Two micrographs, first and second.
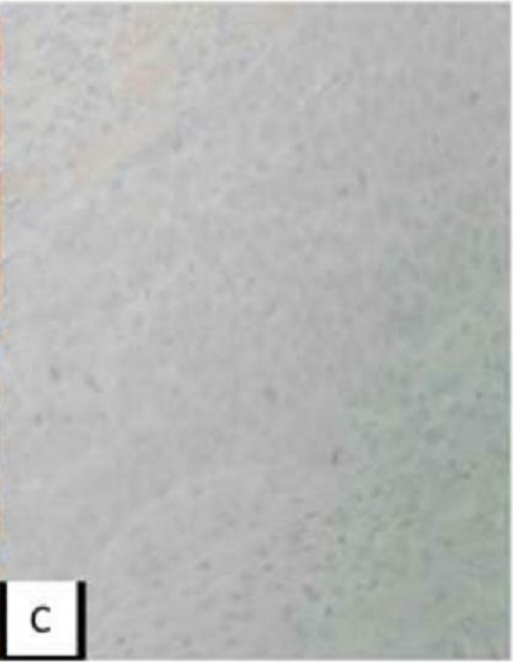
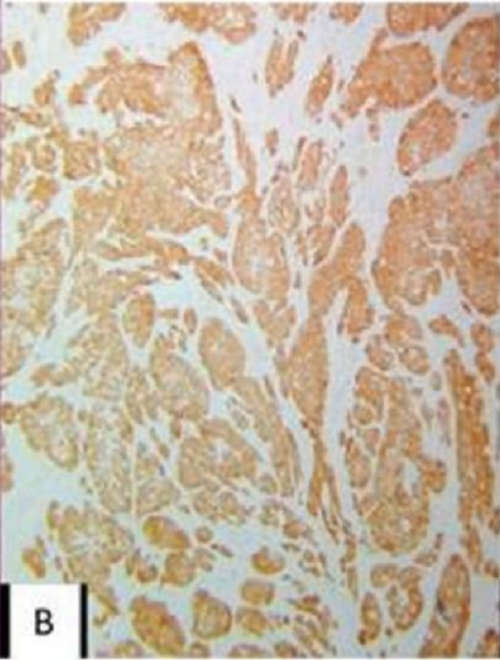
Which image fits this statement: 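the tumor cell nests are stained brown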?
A: The second image.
